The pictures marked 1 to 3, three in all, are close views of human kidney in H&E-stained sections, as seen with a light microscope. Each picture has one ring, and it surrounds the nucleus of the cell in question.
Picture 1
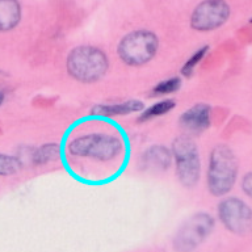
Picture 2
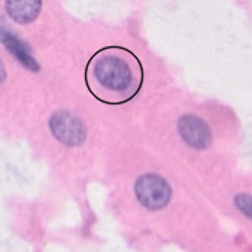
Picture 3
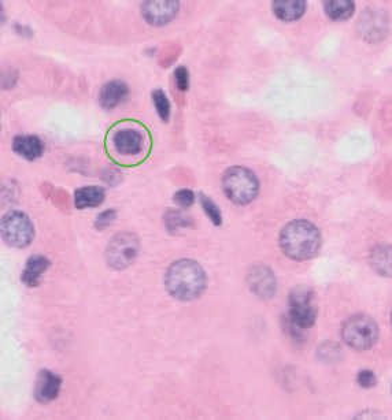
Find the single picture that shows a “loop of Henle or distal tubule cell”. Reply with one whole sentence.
The cell in picture 3 is the “loop of Henle or distal tubule cell”.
